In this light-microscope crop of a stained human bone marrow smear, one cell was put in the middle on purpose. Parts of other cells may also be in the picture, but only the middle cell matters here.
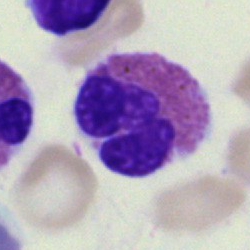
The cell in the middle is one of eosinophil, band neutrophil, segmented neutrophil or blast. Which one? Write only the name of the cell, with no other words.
eosinophil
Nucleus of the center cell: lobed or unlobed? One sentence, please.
You can count two or more lobes in this nucleus.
